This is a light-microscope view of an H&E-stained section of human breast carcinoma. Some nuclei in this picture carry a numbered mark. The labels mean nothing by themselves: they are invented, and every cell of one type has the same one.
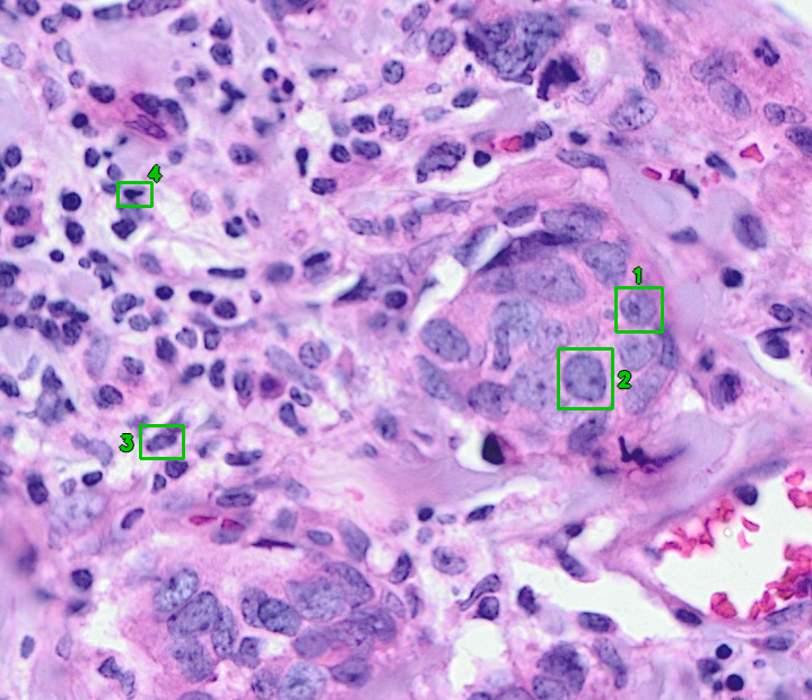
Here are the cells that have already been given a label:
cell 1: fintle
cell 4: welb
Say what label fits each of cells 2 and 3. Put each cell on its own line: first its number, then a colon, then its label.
2: fintle
3: welb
